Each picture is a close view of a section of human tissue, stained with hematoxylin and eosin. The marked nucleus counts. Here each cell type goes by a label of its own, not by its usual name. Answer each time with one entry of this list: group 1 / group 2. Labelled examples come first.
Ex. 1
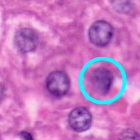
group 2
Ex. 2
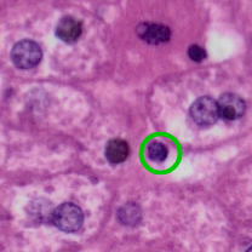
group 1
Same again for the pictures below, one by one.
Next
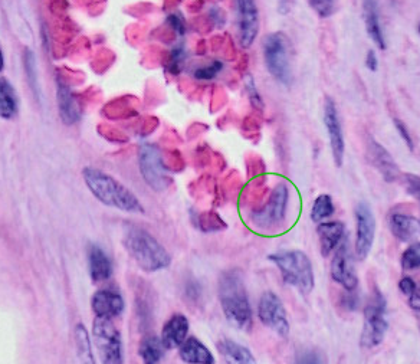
group 2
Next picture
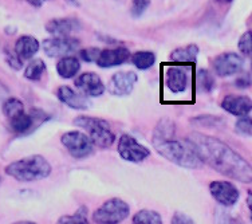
group 1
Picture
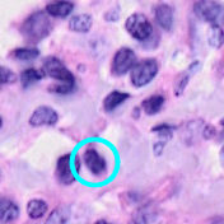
group 1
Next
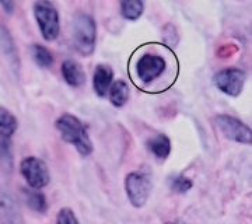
group 1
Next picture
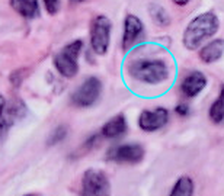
group 1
